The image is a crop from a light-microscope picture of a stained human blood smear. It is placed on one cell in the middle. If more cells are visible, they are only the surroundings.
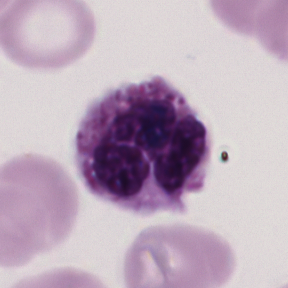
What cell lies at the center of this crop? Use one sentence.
By type, the central cell of the crop is an eosinophil.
